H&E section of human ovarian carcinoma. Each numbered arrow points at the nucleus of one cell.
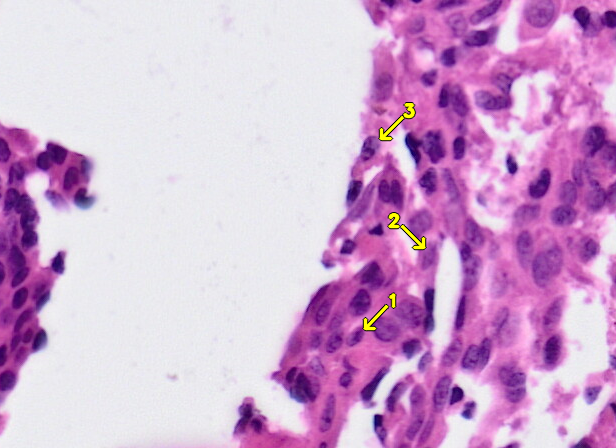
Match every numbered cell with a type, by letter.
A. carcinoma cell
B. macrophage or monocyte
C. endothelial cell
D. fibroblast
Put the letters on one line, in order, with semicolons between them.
B; A; B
